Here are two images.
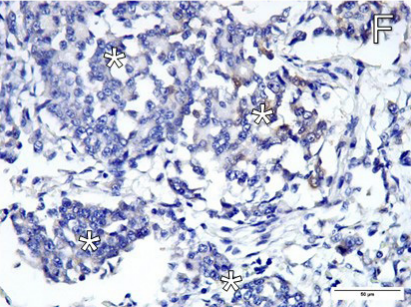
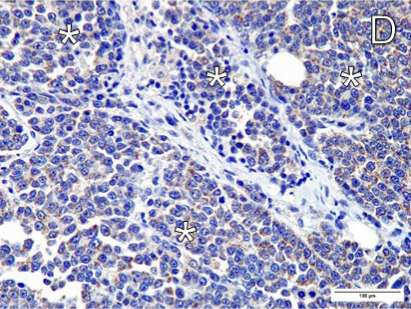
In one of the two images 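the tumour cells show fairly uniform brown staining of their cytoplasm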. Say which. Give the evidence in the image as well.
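The second image. First image: brown tint is faint and only patchy among mostly blue cells. Second image: brown tint is spread through the cytoplasm of most packed cells.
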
